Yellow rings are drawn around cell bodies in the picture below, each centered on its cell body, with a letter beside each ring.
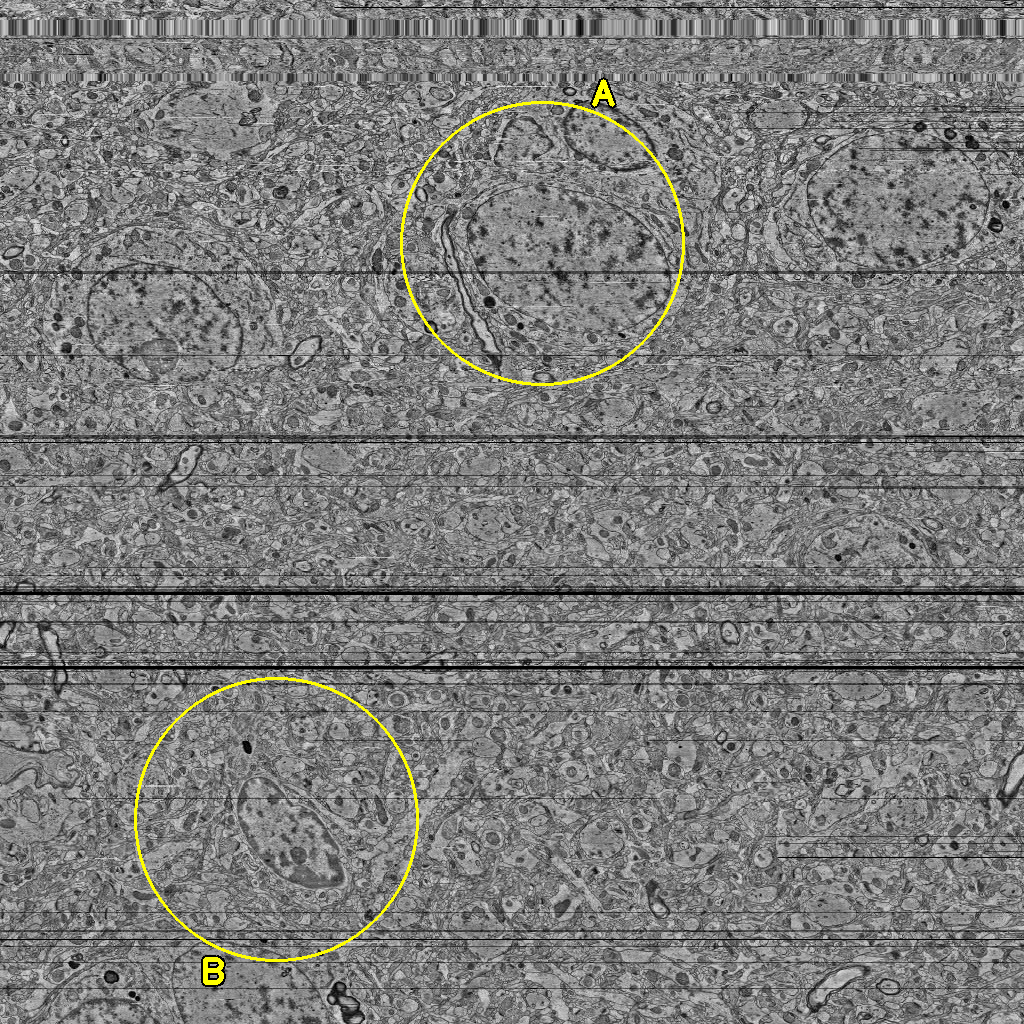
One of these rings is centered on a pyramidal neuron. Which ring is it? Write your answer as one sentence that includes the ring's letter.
It is ring A.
